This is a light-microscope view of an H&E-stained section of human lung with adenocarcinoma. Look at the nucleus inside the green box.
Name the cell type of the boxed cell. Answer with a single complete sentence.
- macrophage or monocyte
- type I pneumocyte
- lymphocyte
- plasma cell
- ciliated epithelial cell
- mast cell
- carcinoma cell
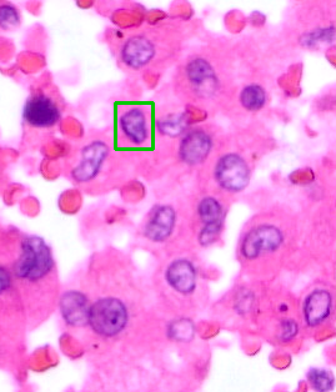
This is a macrophage or monocyte.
